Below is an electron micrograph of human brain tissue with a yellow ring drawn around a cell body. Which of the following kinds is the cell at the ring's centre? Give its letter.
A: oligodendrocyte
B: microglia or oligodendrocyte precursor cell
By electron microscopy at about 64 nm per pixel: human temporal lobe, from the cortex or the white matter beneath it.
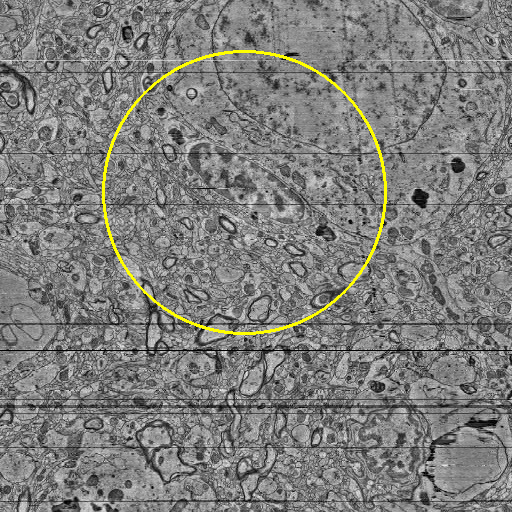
B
